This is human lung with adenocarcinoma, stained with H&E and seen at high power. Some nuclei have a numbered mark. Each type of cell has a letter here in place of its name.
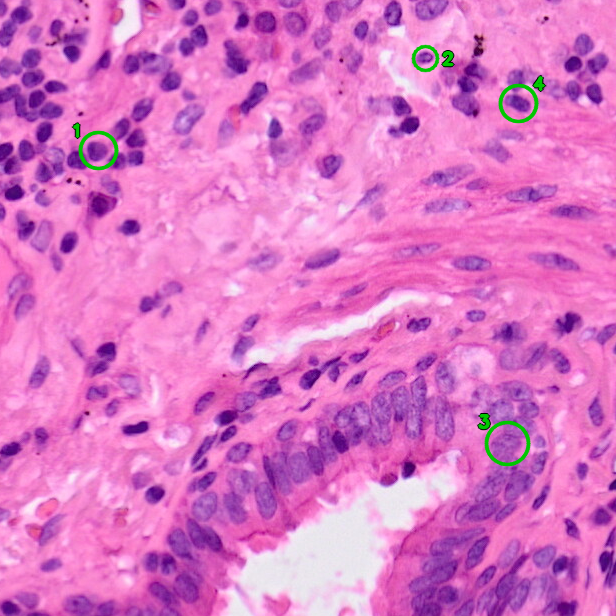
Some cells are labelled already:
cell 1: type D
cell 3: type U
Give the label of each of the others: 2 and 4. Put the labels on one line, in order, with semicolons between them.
type D; type D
